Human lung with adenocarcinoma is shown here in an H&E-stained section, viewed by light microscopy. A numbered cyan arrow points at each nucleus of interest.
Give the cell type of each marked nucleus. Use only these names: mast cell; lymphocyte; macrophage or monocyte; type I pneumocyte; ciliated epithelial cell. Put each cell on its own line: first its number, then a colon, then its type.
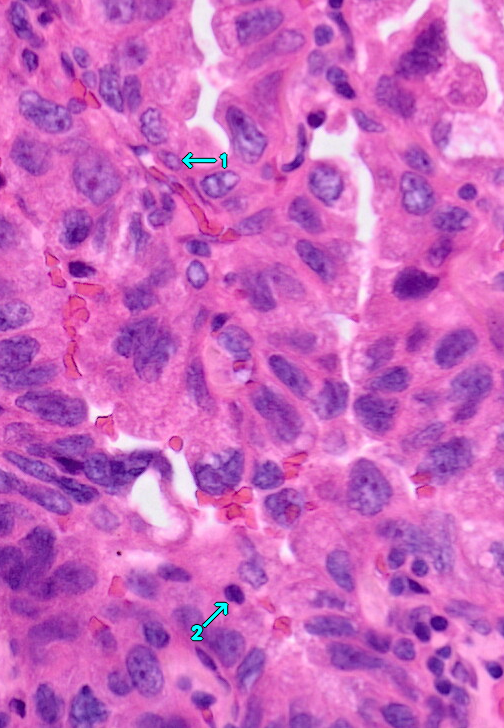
1: macrophage or monocyte
2: lymphocyte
